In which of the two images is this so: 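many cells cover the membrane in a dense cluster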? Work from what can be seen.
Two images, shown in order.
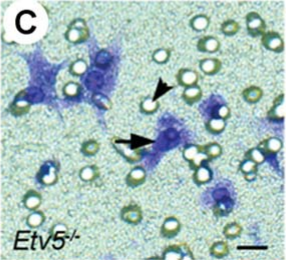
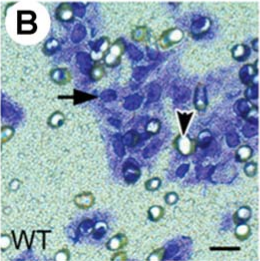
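First image: only a few scattered purple cells lie among the pores. Second image: many purple cells crowd together in a broad sheet across the centre.
Conclusion: the second image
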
